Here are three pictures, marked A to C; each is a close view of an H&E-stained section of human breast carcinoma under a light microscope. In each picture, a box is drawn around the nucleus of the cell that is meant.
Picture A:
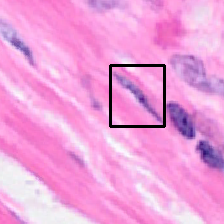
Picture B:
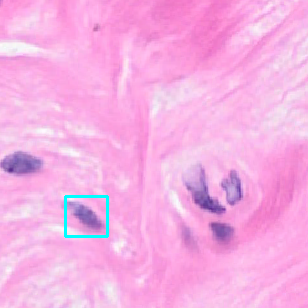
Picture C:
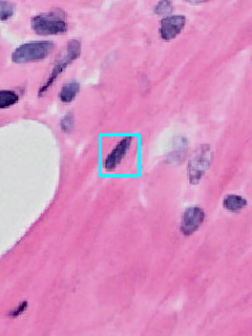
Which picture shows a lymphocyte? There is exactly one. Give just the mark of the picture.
C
